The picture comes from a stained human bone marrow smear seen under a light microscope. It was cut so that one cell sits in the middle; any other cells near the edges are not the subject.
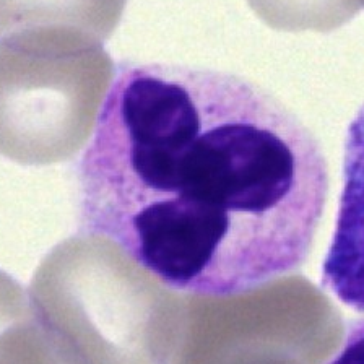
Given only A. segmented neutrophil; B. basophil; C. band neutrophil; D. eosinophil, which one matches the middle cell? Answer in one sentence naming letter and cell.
The central cell of the crop is a segmented neutrophil, which makes A the correct option.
